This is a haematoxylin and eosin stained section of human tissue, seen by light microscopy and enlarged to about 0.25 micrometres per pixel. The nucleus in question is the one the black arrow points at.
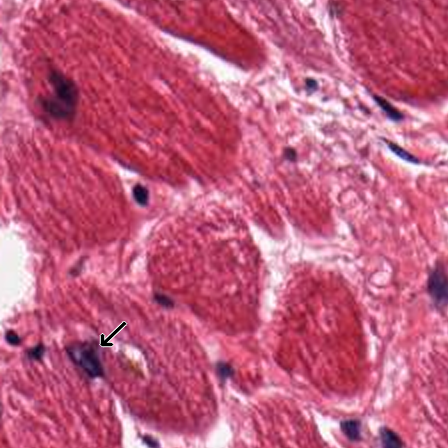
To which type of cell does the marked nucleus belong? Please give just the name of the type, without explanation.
cardiomyocyte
